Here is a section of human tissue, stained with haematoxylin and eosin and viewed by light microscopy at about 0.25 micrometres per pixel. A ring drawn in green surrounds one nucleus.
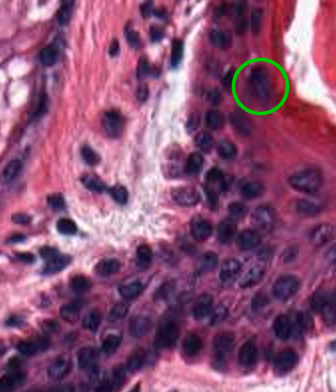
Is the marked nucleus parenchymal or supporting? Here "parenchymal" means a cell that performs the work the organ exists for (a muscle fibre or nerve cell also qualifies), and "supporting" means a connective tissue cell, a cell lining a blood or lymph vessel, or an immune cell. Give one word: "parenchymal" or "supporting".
parenchymal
